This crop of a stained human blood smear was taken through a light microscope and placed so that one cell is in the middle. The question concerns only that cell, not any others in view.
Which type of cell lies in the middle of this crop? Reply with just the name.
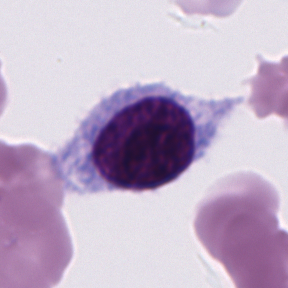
hairy cell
